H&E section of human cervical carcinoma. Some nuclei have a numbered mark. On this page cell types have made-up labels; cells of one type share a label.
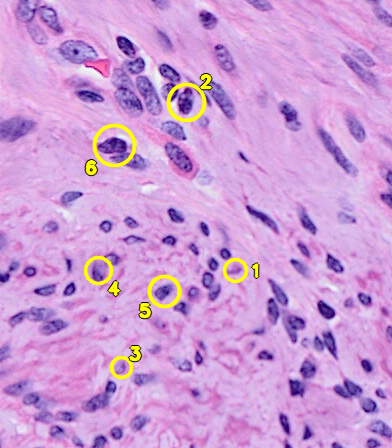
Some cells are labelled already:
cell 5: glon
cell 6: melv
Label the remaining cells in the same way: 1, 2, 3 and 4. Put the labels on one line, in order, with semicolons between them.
glon; melv; glon; glon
